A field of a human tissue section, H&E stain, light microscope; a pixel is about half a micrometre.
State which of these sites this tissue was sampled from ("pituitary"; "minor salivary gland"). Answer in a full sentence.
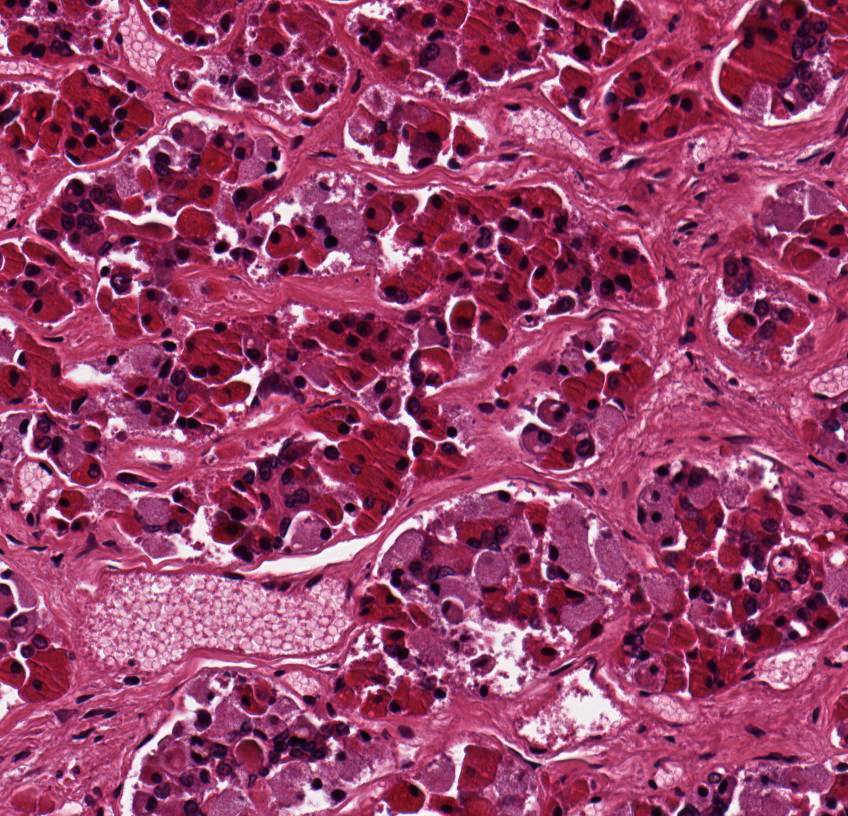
The site this tissue was sampled from is the pituitary.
